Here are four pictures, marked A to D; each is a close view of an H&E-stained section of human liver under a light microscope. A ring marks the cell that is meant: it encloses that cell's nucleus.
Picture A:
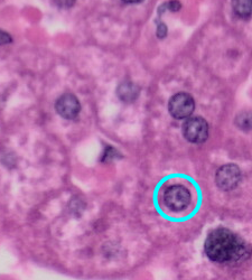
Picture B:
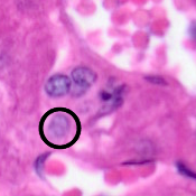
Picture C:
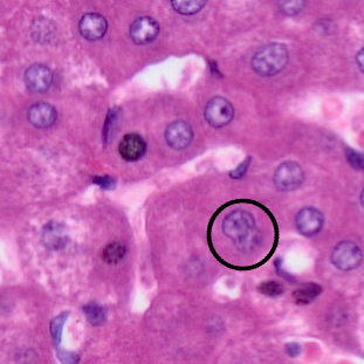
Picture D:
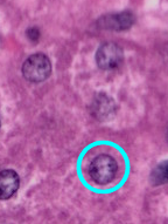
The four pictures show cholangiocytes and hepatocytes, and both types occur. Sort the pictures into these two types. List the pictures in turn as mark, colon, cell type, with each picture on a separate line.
A: hepatocyte
B: cholangiocyte
C: hepatocyte
D: hepatocyte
